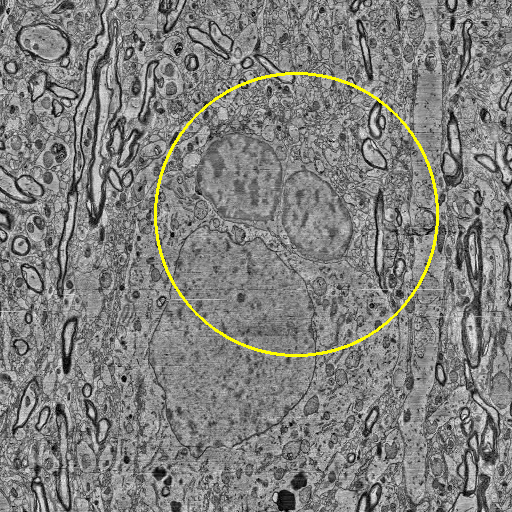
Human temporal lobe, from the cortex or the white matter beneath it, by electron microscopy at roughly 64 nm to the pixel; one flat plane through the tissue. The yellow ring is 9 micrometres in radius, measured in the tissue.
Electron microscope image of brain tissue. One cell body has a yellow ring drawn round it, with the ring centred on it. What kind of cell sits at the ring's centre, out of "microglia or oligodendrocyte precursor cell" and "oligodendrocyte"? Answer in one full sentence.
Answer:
It is an oligodendrocyte whose cell body sits at the centre of the yellow ring.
